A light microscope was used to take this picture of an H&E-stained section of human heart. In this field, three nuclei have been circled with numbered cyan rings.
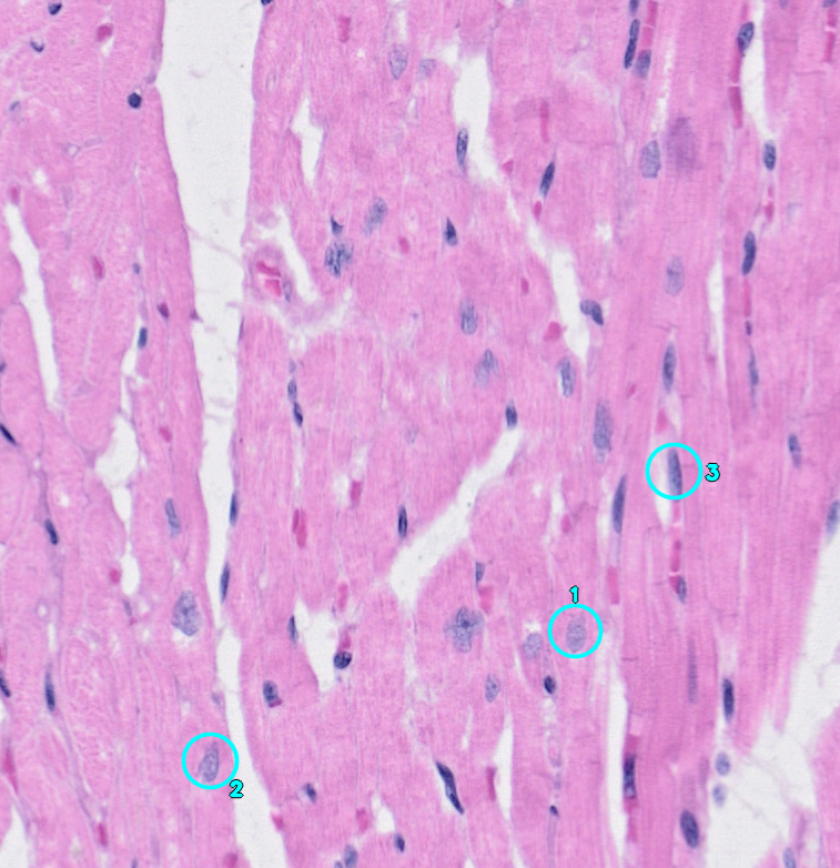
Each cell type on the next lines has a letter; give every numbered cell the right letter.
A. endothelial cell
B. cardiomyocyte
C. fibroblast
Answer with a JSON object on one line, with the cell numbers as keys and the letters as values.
{"1": "B", "2": "B", "3": "A"}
